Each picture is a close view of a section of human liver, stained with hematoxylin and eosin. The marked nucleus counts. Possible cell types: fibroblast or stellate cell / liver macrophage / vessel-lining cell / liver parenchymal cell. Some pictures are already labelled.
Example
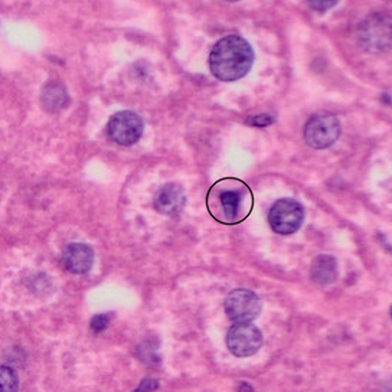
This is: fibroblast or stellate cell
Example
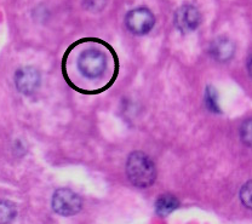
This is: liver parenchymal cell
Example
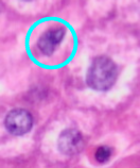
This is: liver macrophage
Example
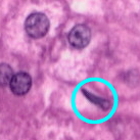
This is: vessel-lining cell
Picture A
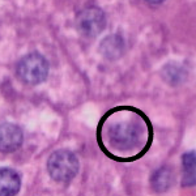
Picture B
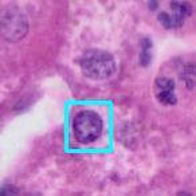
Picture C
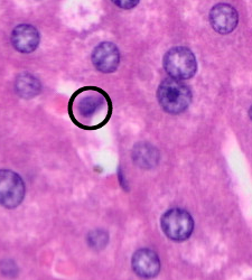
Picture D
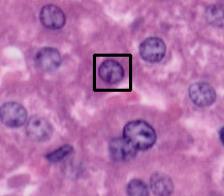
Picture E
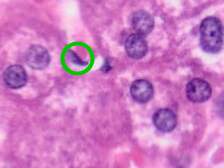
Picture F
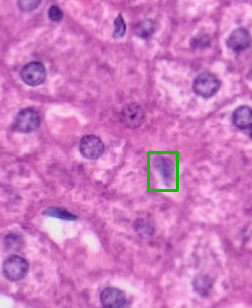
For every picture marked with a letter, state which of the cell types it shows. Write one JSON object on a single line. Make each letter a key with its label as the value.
{"A": "liver parenchymal cell", "B": "liver parenchymal cell", "C": "liver macrophage", "D": "liver parenchymal cell", "E": "vessel-lining cell", "F": "vessel-lining cell"}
